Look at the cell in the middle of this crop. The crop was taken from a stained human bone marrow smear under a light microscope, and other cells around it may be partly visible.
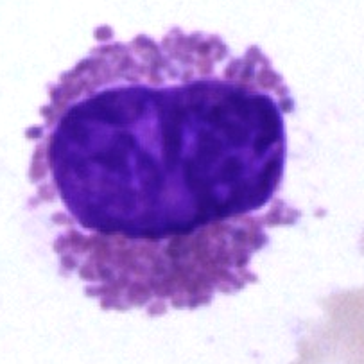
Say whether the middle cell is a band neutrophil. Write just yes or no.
no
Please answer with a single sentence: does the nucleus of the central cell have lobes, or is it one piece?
The nuclear material is gathered into one compact round, oval or kidney-shaped mass.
